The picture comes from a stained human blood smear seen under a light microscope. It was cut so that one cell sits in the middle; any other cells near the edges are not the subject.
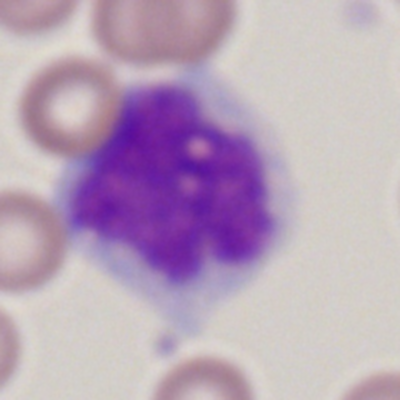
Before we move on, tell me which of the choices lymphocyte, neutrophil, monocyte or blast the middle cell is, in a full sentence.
Centrally within this crop lies a monocyte.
